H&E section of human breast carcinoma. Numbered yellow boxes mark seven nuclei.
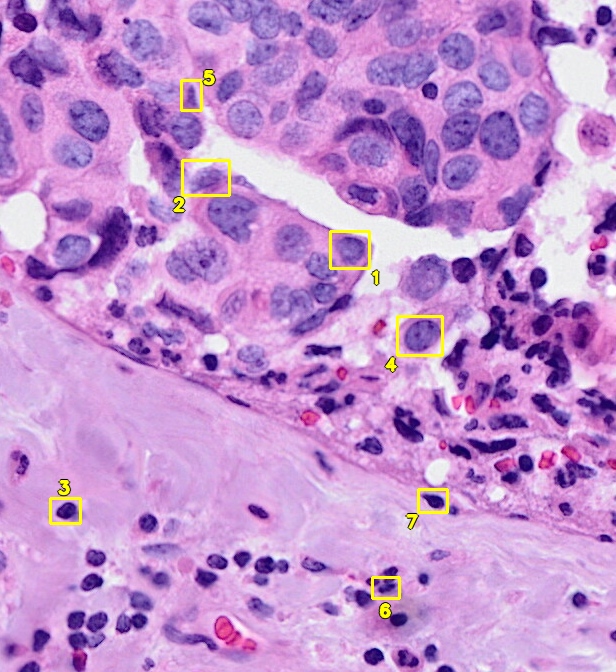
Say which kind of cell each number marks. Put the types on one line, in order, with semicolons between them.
carcinoma cell; carcinoma cell; lymphocyte; carcinoma cell; carcinoma cell; lymphocyte; lymphocyte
